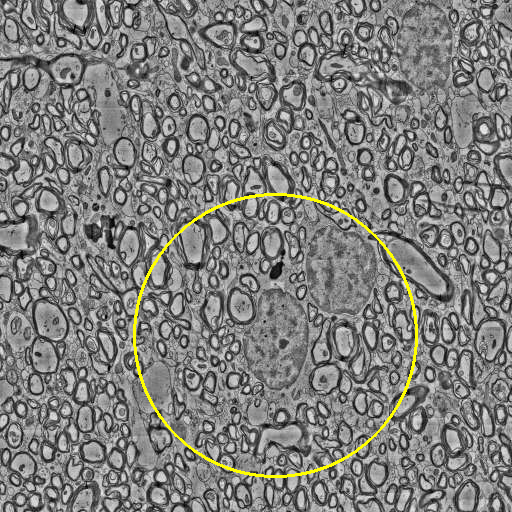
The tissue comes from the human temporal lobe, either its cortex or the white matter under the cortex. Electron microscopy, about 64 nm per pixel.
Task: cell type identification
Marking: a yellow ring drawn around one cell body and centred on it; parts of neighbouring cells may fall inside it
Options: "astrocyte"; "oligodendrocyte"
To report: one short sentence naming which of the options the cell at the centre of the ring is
The cell at the centre of the ring is an oligodendrocyte.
